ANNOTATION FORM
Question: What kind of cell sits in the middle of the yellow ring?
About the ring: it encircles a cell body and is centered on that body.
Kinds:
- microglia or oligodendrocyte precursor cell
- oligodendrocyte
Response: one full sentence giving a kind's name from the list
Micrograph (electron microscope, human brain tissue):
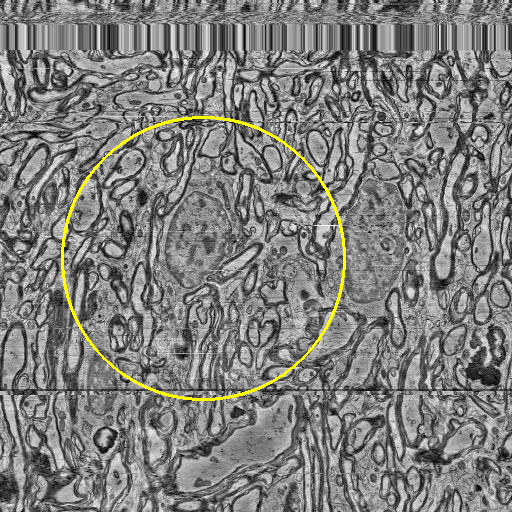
The kind of cell found at the center of the yellow ring in the micrograph is an oligodendrocyte.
